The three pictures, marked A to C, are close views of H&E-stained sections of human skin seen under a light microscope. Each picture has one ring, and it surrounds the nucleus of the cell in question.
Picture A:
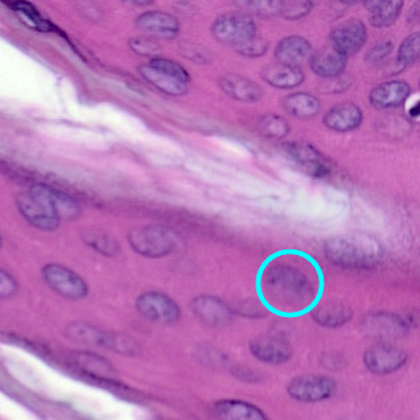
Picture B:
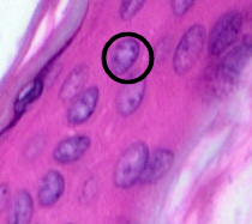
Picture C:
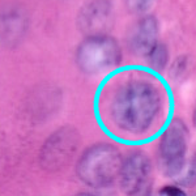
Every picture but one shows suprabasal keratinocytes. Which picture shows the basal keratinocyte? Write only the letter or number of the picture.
C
